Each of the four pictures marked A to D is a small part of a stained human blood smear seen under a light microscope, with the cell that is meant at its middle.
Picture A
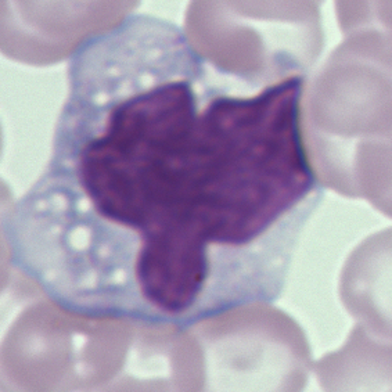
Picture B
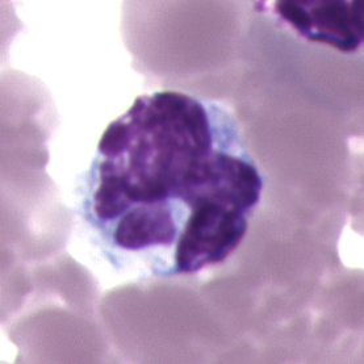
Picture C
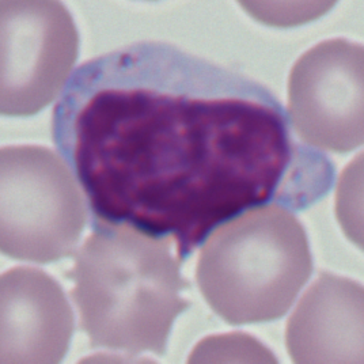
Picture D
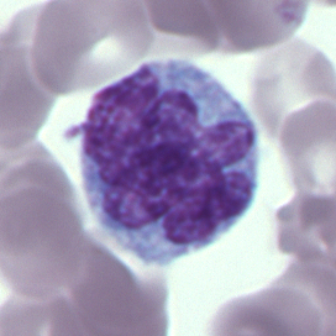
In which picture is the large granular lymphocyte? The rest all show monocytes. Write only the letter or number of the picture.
C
